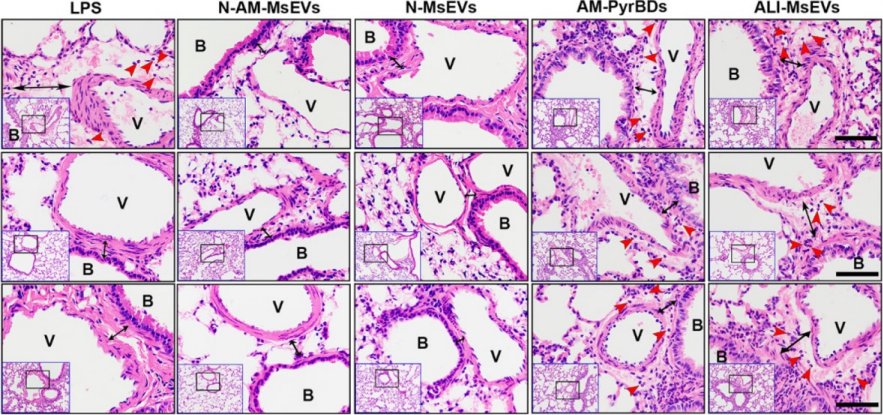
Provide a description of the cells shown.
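A grid of pink-and-purple stained lung sections, each showing an airway lined by a purple epithelium next to a blood vessel. Between them lies connective tissue whose width varies: in some tiles it is thin and compact, while in others it is widened and loose, with pale spaces. Small cells with dark, compact nuclei are scattered in this widened tissue. Low-power insets in the lower left corners show the surrounding lung with its alveoli.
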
